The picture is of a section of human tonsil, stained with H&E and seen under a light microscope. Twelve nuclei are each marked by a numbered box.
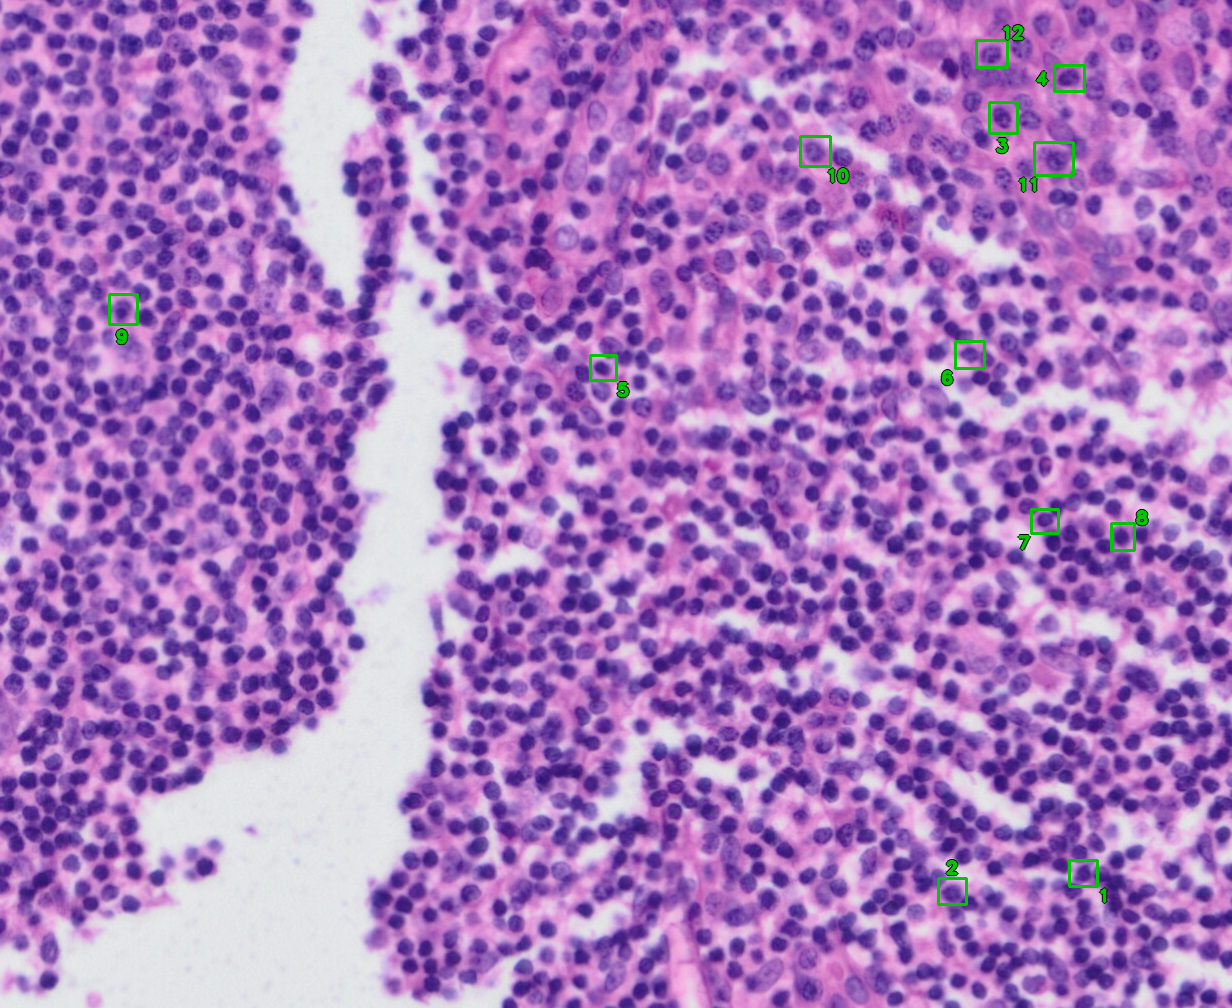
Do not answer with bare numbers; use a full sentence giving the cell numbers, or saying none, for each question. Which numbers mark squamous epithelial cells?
Among the cells marked by numbers, there are no squamous epithelial cells.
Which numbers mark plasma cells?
The numbers 3, 4, 10, 11 and 12 mark cells that are plasma cells.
